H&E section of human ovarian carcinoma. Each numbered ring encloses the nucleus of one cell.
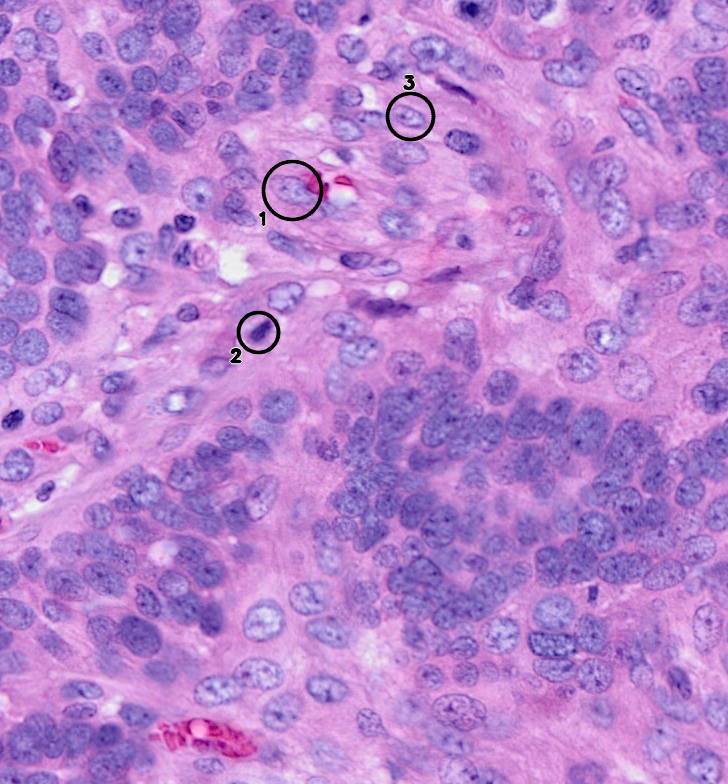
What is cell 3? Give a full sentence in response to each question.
Numbered cell 3 is a fibroblast in this tissue section.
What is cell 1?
The nucleus with number 1 is that of an endothelial cell.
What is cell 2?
What the number 2 marks in this field is a lymphocyte.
